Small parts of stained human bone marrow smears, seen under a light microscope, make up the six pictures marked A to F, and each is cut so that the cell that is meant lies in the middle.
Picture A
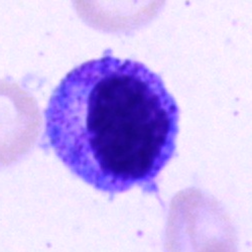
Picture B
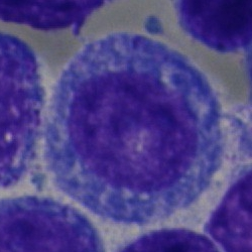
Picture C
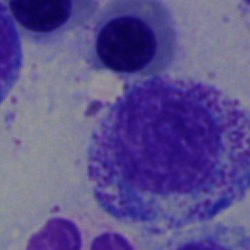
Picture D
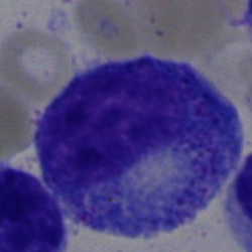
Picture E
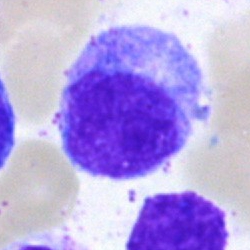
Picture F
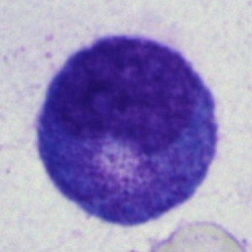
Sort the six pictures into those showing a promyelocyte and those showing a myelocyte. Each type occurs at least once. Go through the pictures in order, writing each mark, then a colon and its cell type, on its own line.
A: myelocyte
B: promyelocyte
C: myelocyte
D: promyelocyte
E: myelocyte
F: promyelocyte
